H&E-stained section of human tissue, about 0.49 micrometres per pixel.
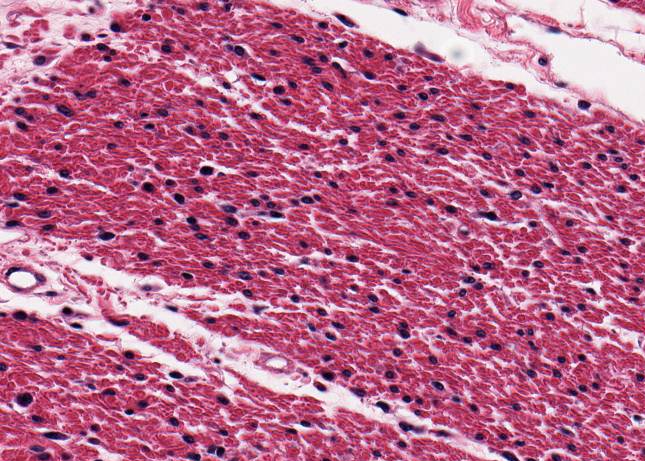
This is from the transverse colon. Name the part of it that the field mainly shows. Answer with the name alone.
smooth muscle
